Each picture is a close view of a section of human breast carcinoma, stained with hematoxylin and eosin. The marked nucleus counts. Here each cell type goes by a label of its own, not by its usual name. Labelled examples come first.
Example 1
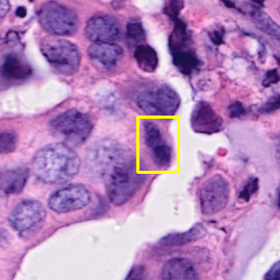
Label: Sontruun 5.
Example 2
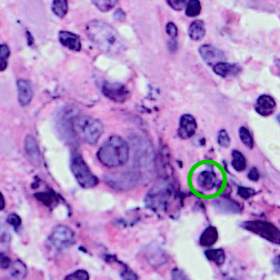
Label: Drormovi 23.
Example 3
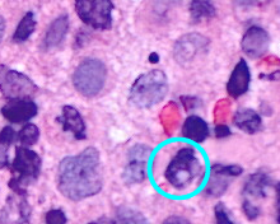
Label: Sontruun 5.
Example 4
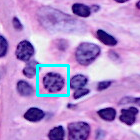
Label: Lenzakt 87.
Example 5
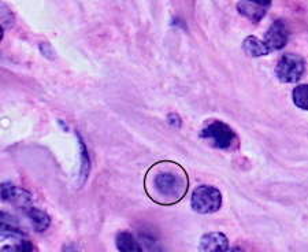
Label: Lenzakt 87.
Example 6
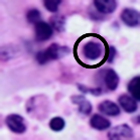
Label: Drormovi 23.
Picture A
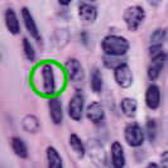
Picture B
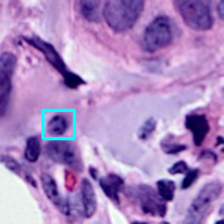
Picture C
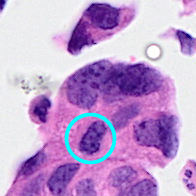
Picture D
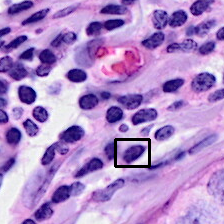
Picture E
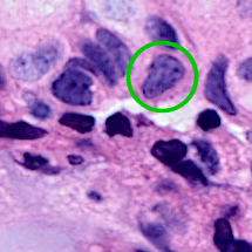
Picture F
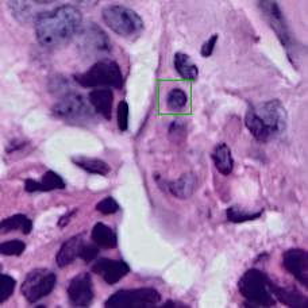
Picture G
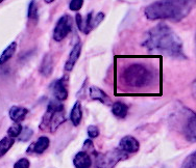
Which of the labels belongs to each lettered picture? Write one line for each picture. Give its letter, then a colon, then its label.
A: Drormovi 23.
B: Lenzakt 87.
C: Sontruun 5.
D: Drormovi 23.
E: Sontruun 5.
F: Lenzakt 87.
G: Sontruun 5.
